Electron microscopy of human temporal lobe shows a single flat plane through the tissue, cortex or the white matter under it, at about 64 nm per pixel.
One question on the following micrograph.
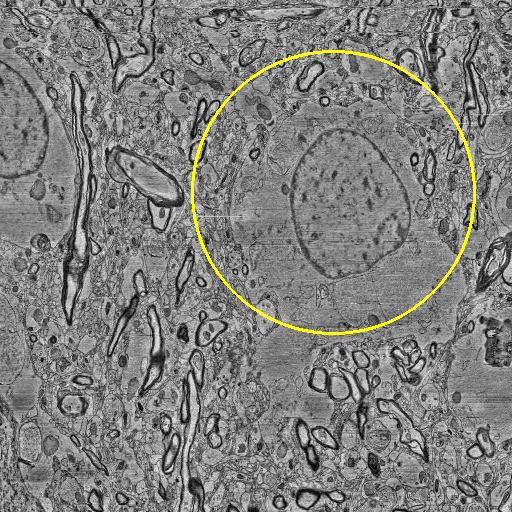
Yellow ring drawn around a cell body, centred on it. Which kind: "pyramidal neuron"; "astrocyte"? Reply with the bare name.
astrocyte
